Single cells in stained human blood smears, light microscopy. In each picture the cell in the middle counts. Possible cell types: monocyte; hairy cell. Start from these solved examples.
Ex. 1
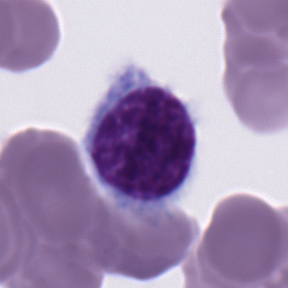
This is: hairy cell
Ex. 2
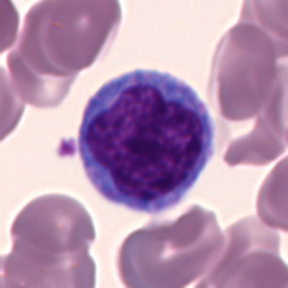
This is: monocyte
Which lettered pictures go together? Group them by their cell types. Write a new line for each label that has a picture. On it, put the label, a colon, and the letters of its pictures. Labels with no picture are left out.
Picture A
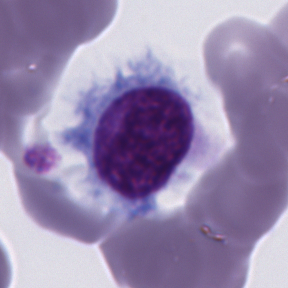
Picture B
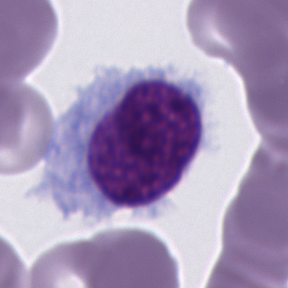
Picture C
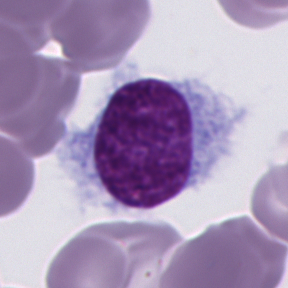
hairy cell: A, B, C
